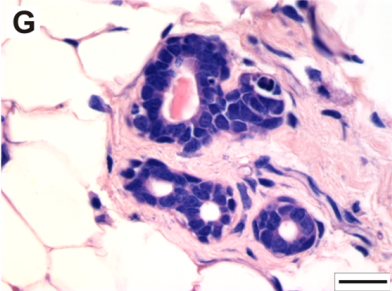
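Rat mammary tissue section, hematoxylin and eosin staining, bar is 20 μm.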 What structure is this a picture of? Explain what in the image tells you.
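Small ducts with a regular epithelial lining around central lumina. Surrounding fibrous stroma and adipocytes. On this evidence: Normal epithelial ducts.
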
